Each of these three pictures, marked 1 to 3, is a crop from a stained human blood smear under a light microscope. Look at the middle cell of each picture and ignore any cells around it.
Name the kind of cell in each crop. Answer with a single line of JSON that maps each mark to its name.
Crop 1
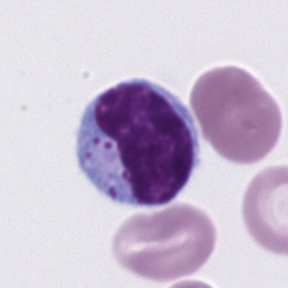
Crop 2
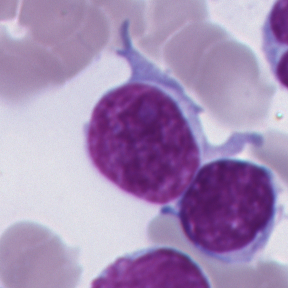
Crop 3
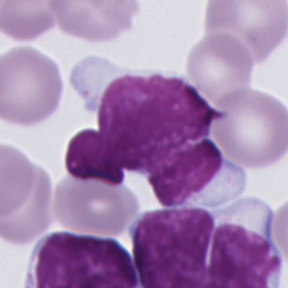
{"1": "large granular lymphocyte", "2": "blast", "3": "large granular lymphocyte"}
